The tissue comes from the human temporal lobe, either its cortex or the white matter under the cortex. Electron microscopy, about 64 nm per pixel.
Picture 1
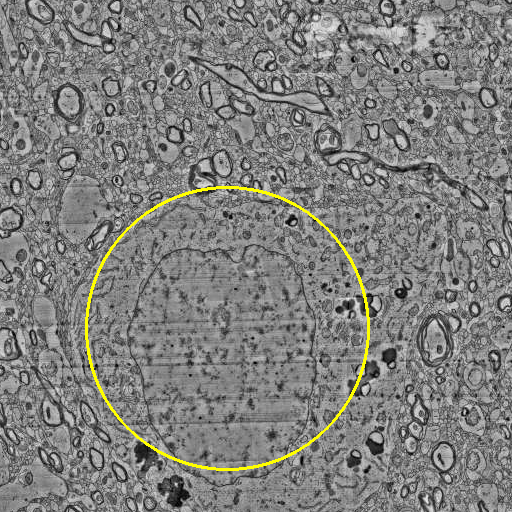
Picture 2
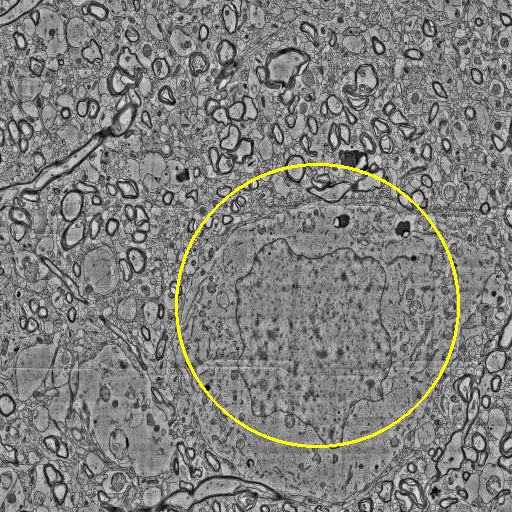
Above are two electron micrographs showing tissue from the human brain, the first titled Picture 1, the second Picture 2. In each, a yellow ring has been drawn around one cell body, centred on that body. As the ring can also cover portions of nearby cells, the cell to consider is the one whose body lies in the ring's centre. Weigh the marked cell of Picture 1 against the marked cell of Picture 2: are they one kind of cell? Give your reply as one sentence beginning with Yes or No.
Yes, the two cells sitting at the ring centres in the pictures are of one kind.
